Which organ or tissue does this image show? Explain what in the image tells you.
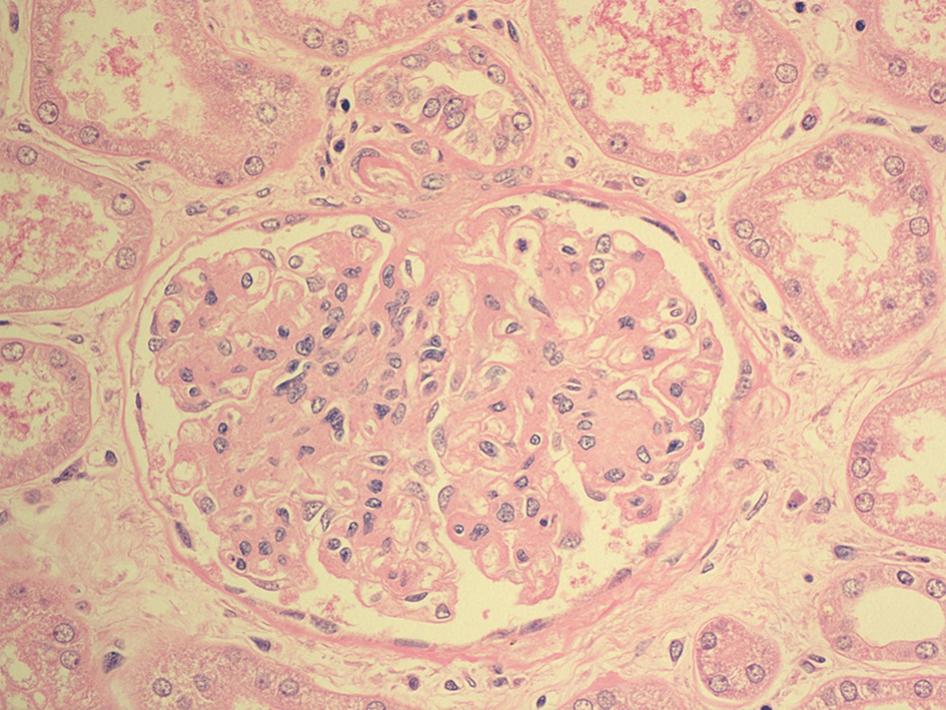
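Glomeruli. A rounded tuft of capillary loops and cells sits in the centre of the panel. A thin capsule surrounds the tuft, with a clear space between capsule and tuft. Cross-sections of tubules lined by cuboidal epithelium surround it.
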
